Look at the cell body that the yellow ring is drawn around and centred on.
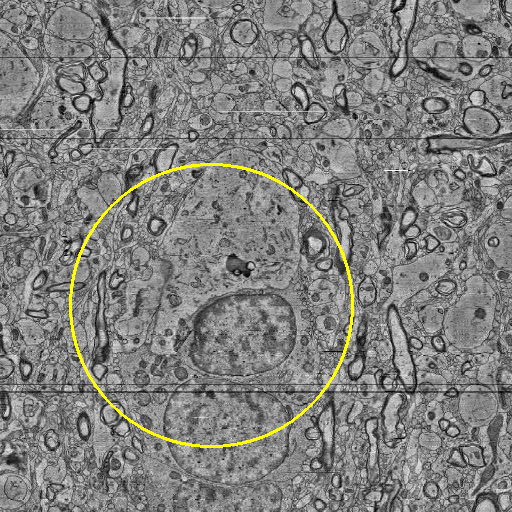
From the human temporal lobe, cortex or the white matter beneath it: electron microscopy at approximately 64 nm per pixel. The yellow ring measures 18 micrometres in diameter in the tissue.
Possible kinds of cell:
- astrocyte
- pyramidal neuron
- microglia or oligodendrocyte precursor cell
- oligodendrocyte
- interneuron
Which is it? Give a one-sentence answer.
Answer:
The centred cell body is that of an oligodendrocyte.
